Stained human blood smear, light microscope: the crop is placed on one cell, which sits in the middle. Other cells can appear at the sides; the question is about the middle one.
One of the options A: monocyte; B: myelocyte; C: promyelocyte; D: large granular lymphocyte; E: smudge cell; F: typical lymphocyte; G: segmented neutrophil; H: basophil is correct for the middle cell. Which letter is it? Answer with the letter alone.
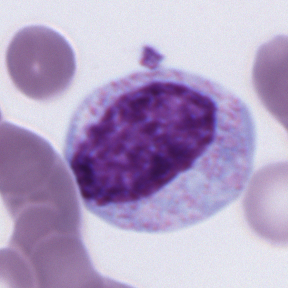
B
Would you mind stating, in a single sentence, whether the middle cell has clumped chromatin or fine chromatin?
In this nucleus, the chromatin is arranged in coarse clumps.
